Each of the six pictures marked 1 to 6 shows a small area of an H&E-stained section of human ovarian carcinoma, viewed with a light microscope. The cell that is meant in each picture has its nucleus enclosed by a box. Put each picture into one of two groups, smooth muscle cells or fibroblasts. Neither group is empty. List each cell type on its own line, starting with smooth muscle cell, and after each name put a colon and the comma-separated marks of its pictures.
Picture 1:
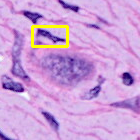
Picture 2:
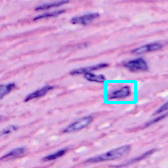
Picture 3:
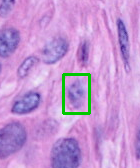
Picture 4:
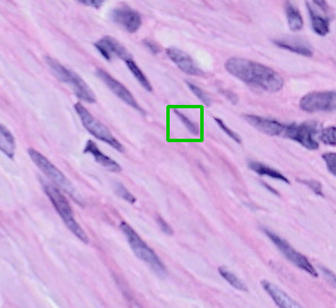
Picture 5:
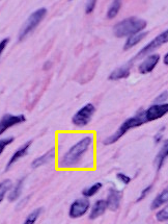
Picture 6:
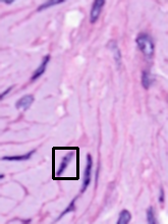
smooth muscle cell: 4, 5
fibroblast: 1, 2, 3, 6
